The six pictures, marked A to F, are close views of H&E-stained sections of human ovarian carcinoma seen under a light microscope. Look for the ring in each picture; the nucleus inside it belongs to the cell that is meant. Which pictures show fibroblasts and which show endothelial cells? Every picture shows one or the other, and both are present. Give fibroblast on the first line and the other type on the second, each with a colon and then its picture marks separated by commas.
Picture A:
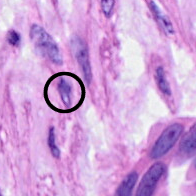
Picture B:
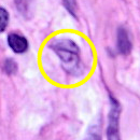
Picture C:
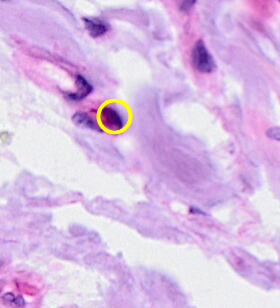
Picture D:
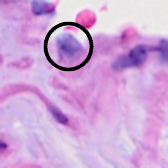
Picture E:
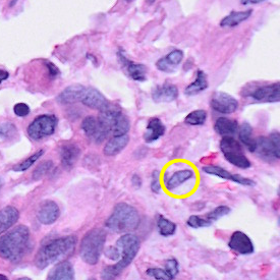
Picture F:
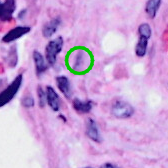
fibroblast: A, B, E, F
endothelial cell: C, D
